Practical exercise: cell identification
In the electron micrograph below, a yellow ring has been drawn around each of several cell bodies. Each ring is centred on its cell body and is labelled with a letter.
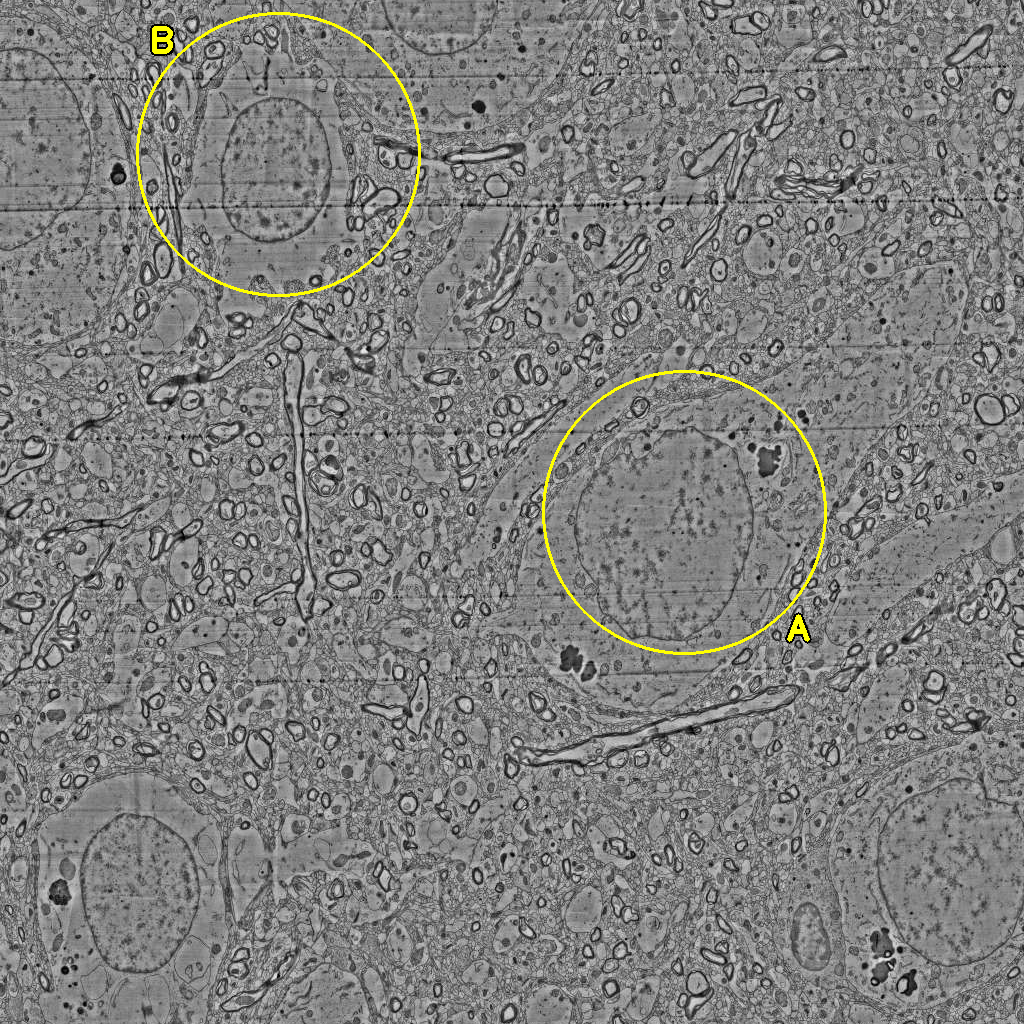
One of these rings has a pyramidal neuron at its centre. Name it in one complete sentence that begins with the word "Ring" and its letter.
Ring A has that cell at its centre.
